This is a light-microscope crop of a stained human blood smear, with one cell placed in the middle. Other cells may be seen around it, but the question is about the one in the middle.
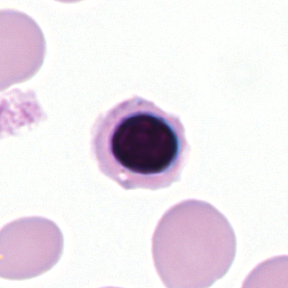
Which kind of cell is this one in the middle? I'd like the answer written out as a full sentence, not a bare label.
Answering briefly, the cell in the middle is a normoblast.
